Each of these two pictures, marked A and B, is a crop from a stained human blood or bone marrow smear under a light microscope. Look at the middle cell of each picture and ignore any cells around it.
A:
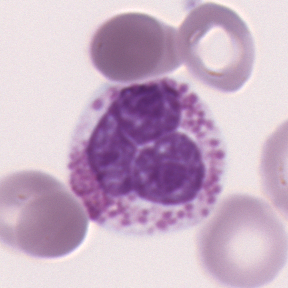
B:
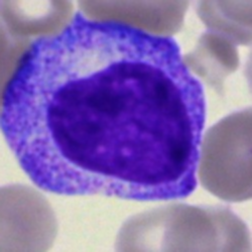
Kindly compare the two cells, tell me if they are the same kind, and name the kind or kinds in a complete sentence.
No, a myelocyte is in crop B, and an eosinophil is in crop A.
